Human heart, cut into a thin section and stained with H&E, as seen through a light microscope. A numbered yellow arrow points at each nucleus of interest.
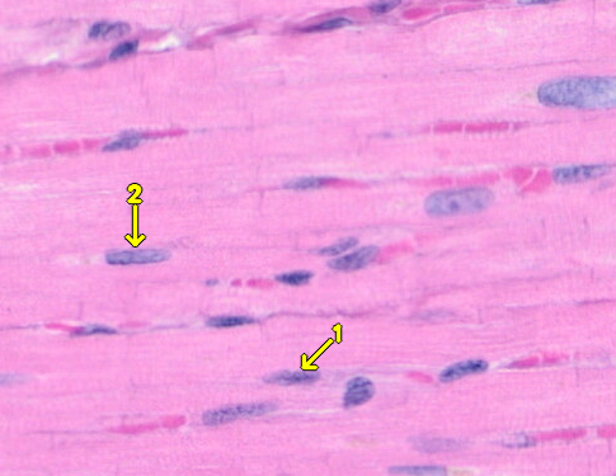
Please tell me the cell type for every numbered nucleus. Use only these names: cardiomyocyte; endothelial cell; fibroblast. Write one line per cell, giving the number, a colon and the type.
1: endothelial cell
2: cardiomyocyte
